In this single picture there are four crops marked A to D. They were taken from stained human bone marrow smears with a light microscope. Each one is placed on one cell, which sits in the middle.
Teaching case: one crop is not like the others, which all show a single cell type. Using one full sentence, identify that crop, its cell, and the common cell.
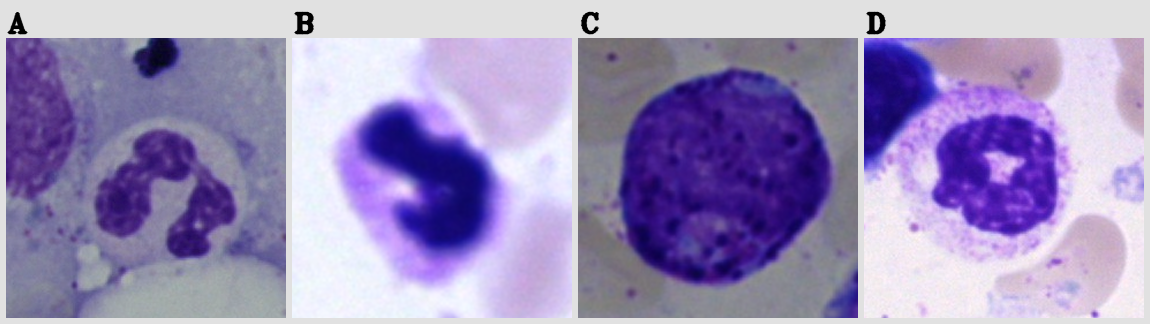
What sets crop C apart is that it shows a basophil, while the others show segmented neutrophils.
